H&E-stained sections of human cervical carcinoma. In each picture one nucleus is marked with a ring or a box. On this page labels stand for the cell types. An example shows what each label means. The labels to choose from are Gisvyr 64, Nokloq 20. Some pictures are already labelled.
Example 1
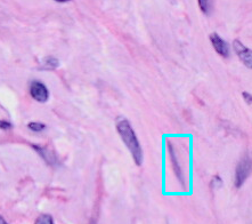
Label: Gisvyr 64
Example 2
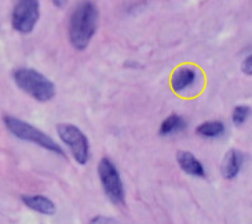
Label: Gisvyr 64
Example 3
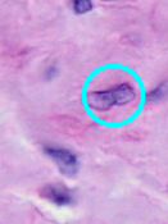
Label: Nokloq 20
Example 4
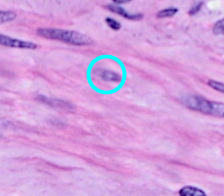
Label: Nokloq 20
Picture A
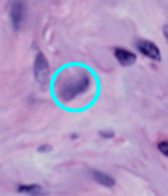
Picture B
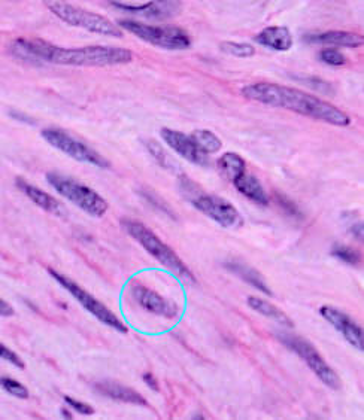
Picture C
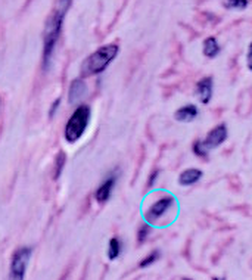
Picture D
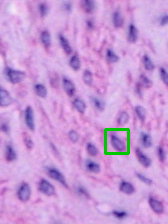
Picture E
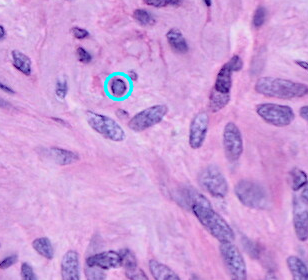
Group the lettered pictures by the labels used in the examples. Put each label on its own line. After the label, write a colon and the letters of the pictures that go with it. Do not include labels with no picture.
Gisvyr 64: A
Nokloq 20: B, C, D, E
